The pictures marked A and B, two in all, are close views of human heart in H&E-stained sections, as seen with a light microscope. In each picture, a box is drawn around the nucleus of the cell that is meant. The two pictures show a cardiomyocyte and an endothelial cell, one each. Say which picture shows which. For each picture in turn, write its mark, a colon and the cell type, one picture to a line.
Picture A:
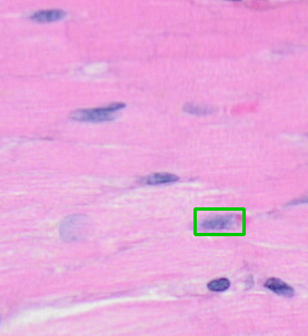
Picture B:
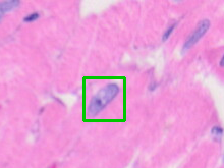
A: endothelial cell
B: cardiomyocyte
